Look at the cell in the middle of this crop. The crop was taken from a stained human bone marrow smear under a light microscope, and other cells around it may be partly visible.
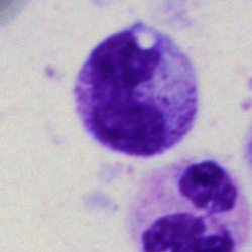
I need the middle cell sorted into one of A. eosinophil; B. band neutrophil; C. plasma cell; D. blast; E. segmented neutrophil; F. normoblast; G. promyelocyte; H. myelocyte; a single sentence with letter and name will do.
Of the options given, B is correct, the central cell being a band neutrophil.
